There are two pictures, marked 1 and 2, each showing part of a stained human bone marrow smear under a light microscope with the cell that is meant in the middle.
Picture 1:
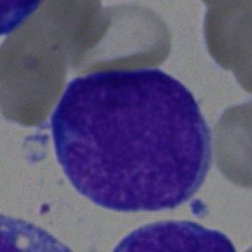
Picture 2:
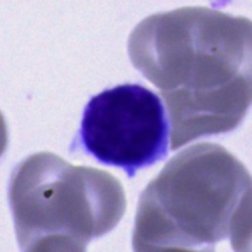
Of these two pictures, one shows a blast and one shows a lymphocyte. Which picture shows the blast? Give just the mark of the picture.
1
